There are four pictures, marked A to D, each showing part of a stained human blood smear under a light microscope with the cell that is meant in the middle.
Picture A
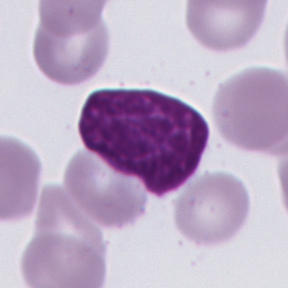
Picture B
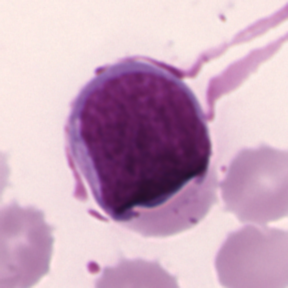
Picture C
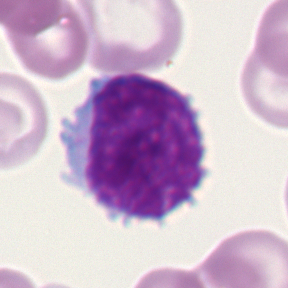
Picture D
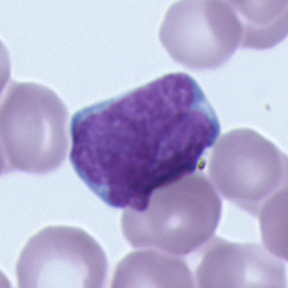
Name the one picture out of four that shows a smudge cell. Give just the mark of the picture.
A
